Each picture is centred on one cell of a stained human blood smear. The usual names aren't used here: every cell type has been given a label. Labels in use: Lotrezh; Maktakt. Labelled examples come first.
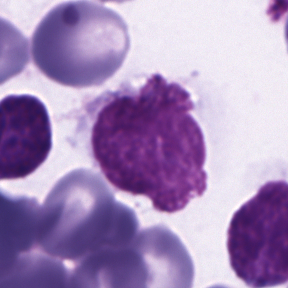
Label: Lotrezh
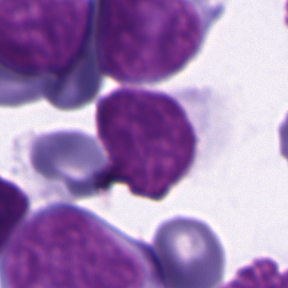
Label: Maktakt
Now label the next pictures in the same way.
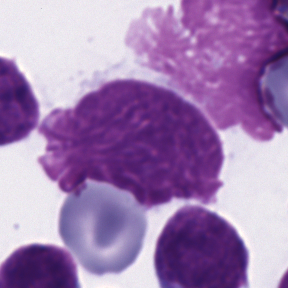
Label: Lotrezh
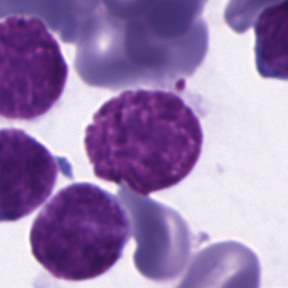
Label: Maktakt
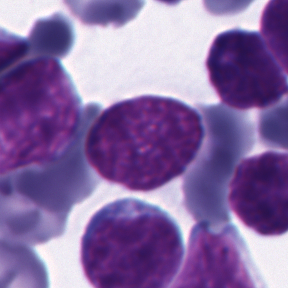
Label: Maktakt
